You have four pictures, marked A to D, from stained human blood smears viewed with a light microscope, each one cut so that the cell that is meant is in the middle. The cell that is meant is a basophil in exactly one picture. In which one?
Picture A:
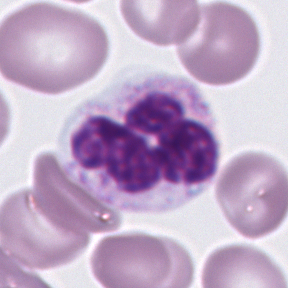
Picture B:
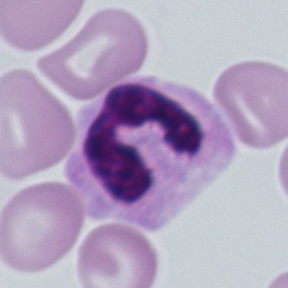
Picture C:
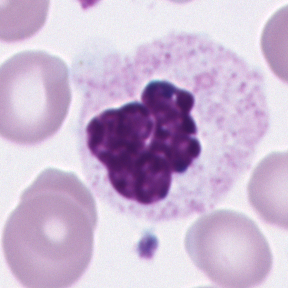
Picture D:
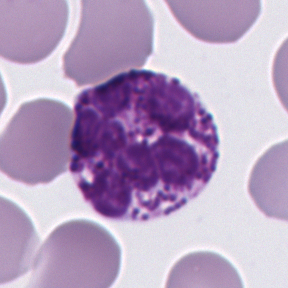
D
